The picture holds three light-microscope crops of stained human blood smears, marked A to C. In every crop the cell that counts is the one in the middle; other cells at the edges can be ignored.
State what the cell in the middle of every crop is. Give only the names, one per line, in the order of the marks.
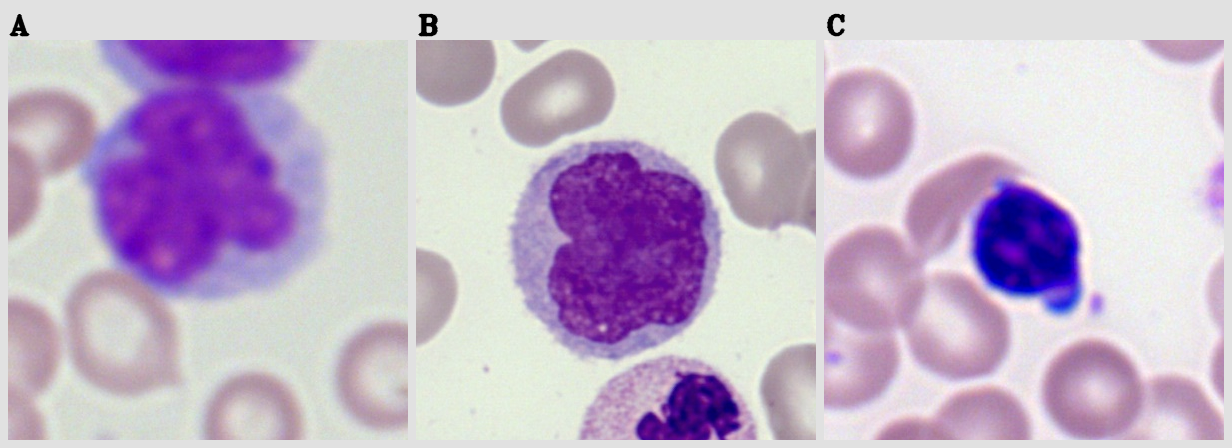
monocyte
myeloblast
lymphocyte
